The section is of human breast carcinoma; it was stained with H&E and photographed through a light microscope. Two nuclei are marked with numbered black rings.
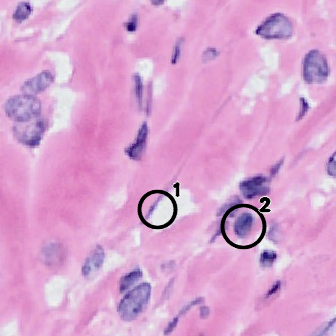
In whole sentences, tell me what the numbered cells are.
Cell 1 is a fibroblast and cell 2 is a lymphocyte.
